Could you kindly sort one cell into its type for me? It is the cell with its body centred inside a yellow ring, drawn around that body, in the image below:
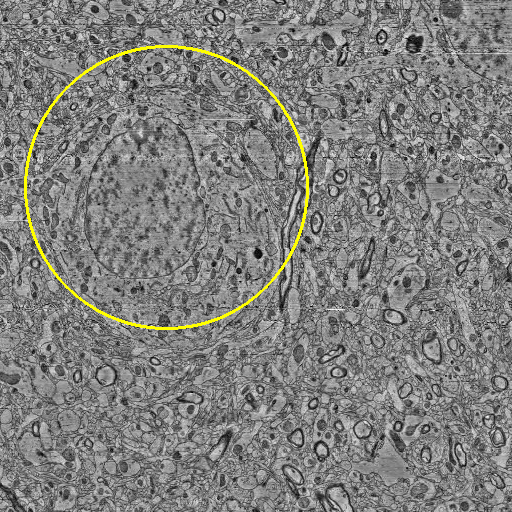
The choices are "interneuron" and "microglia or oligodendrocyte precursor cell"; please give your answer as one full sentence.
The cell whose body lies centred in the yellow ring here is an interneuron.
